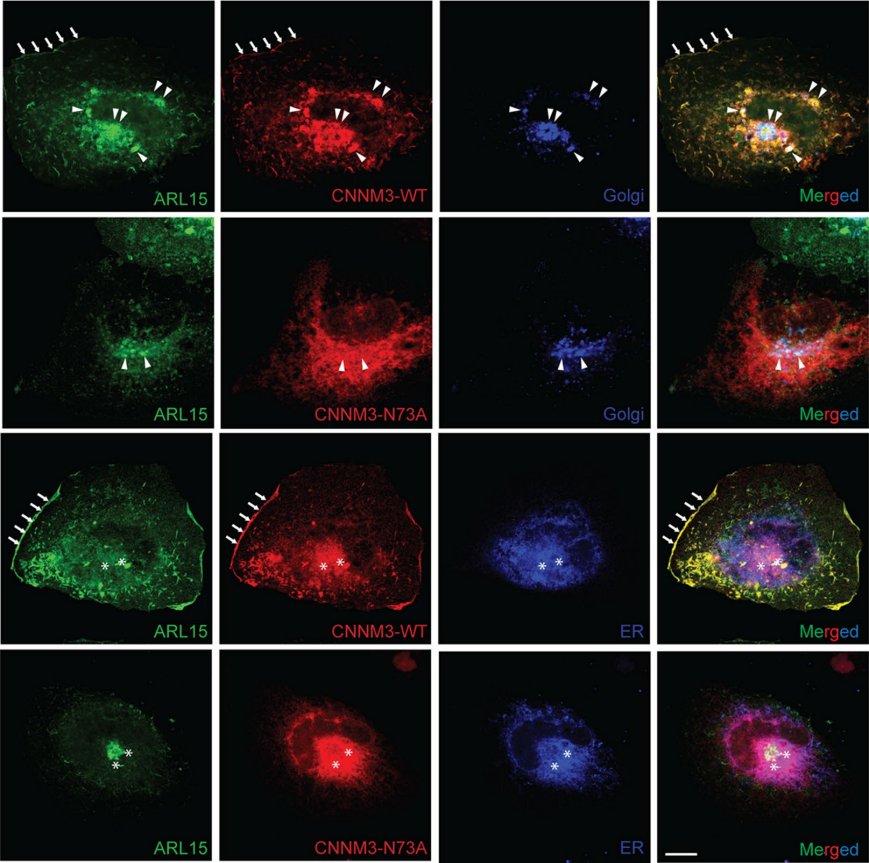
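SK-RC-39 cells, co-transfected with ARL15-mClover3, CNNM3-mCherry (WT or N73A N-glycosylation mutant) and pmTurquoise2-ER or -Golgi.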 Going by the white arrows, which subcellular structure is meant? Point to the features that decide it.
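The arrows point to a thin bright line running along the outer edge of the cell. The line follows the cell's outline in both the green and red images. The answer: Plasma membrane.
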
